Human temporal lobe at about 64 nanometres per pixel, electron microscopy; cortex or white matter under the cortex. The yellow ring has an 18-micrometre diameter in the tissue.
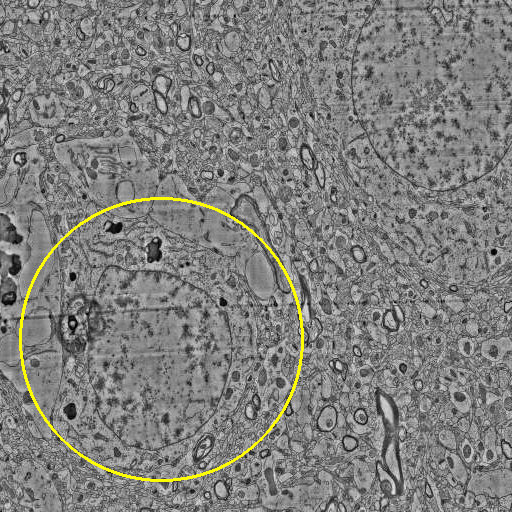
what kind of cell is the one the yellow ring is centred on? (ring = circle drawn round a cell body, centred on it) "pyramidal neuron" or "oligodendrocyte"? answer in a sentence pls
The ring is drawn around a pyramidal neuron.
